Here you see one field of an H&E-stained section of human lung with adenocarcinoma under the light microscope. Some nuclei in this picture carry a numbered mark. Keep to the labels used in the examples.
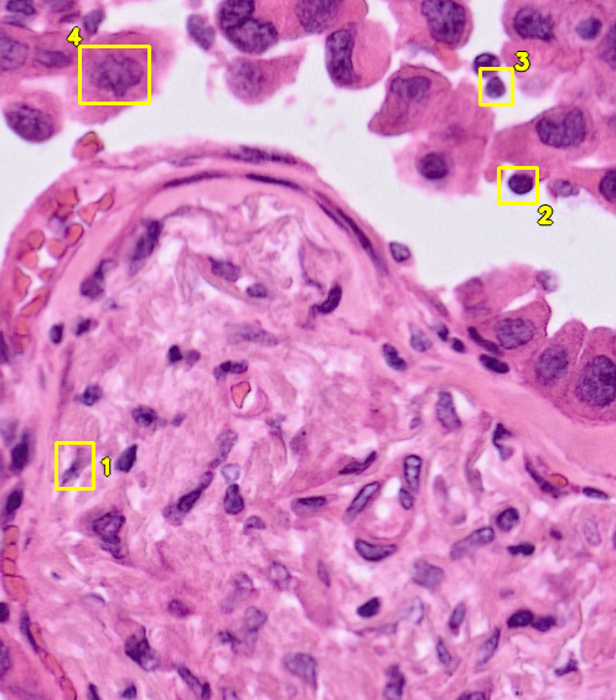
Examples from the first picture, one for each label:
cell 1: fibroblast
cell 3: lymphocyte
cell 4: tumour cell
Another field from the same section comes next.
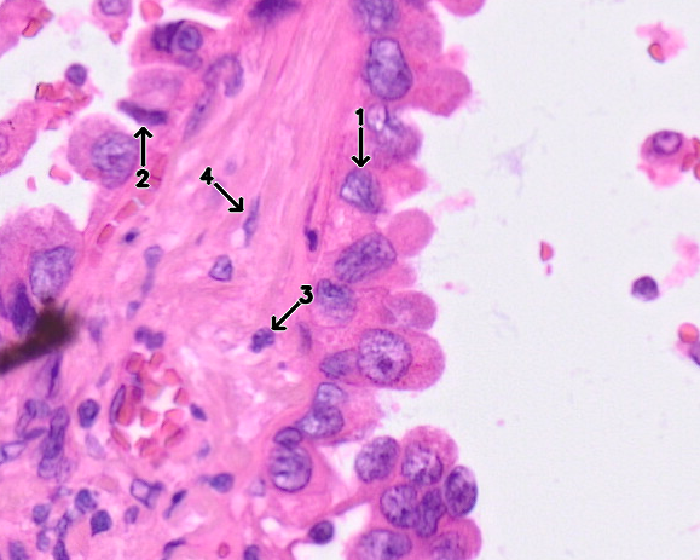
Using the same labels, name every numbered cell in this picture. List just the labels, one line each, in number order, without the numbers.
tumour cell
tumour cell
lymphocyte
fibroblast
